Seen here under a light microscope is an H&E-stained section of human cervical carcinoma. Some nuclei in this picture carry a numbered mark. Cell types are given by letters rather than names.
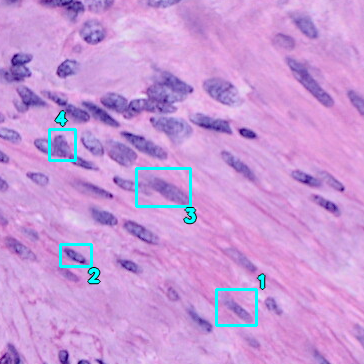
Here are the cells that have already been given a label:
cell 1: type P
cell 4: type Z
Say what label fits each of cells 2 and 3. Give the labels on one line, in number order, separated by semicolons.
type P; type P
